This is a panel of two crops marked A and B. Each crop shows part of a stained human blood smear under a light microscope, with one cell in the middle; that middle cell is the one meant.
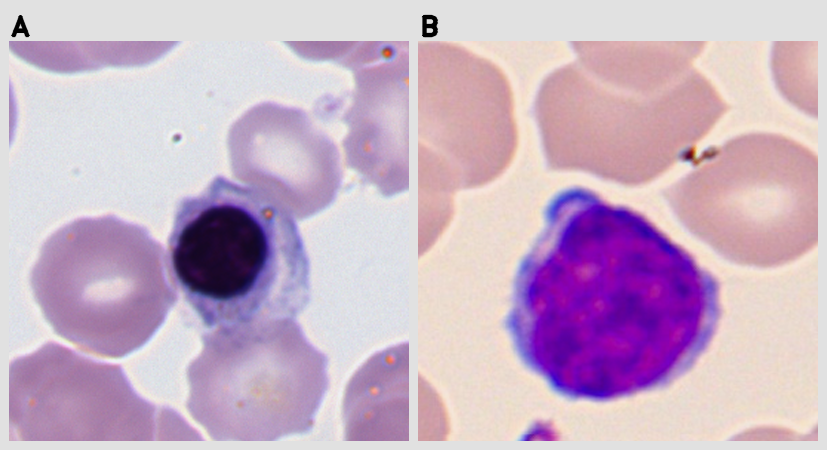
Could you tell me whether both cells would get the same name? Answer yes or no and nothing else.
no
